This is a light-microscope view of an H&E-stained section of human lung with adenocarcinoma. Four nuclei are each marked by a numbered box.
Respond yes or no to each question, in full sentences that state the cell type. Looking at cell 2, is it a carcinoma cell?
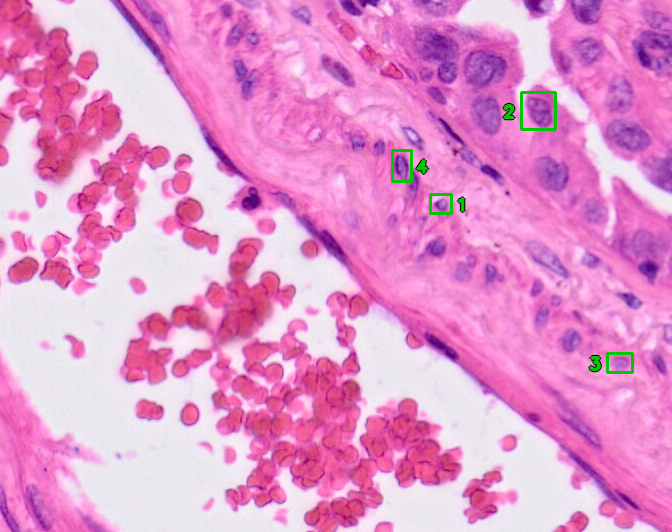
Yes, the cell with the mark numbered 2 is a carcinoma cell.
